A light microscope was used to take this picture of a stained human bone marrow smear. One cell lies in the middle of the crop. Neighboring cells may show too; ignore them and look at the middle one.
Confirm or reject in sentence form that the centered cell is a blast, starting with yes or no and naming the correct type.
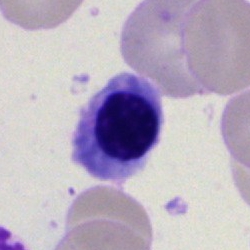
No, the centred cell is an erythroblast, and it is not a blast.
